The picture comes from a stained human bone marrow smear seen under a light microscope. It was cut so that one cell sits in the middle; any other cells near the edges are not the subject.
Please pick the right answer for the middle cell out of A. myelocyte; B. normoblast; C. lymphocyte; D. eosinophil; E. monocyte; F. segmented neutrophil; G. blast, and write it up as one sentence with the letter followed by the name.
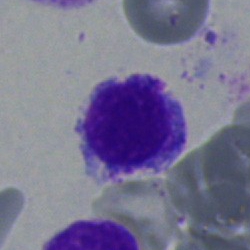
The cell at the centre is a lymphocyte, and option C accordingly is correct.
